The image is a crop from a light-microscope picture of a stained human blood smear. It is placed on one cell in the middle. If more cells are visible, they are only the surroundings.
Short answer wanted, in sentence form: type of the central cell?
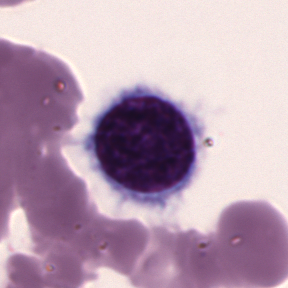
Classified as a hairy cell is the cell in the middle of this crop.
